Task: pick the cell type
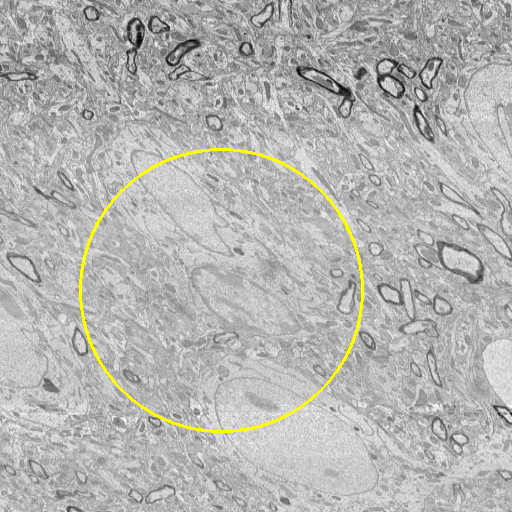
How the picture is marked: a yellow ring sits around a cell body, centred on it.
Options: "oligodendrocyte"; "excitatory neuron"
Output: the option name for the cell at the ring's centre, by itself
oligodendrocyte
